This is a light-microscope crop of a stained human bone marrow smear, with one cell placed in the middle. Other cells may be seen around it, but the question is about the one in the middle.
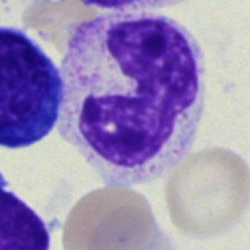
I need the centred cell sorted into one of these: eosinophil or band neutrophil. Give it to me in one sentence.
The cell sitting right in the middle is a band neutrophil.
